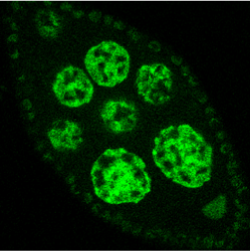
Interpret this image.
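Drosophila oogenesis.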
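An oval egg chamber is seen in which several very large round nuclei of nurse cells glow bright green, with a mottled, speckled texture inside each. The cytoplasm between these nuclei is only faintly green. Around the rim of the chamber a thin ring of small, dimmer green dots marks the nuclei of the surrounding follicle cell layer. At the posterior end a smaller, compact green body lies apart from the nurse cell nuclei, in the position of the oocyte nucleus.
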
